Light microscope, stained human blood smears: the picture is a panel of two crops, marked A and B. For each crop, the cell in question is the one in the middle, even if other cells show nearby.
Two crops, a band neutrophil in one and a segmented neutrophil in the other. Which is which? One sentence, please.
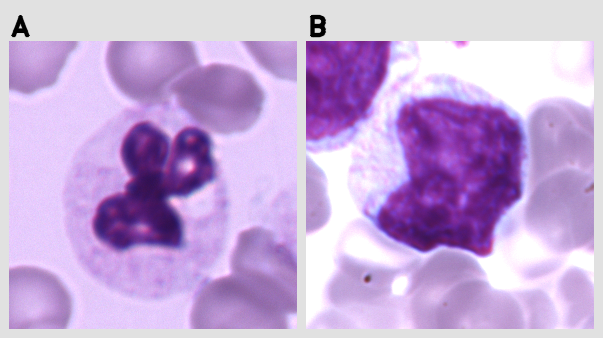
So, crop A is a segmented neutrophil, and crop B is a band neutrophil.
